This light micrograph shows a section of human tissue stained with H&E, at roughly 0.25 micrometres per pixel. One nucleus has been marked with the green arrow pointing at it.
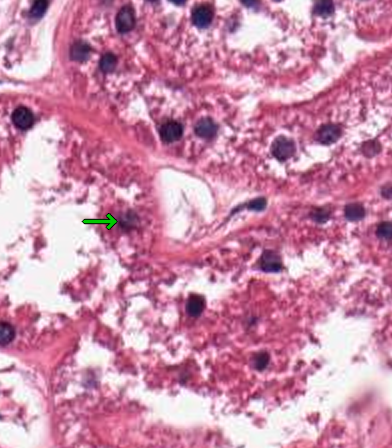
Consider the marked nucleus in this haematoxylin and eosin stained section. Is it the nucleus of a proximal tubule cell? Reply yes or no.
yes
